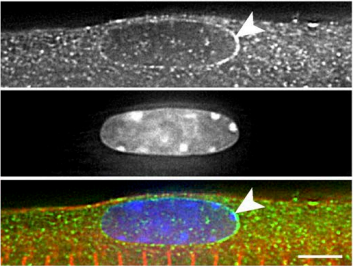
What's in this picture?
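Part of a skeletal muscle fiber holds a single elongated oval nucleus. The green label draws a sharp ring around the nucleus, outlining the nuclear envelope, indicated by a white arrowhead, and also dots the surrounding cytoplasm finely. The blue nuclear stain is fairly even with a few brighter spots of dense chromatin. Faint red banding runs across the fiber, reflecting its striated structure. The nucleus lies along the long axis of the fiber, and its rim stands out clearly against the speckled cytoplasm around it.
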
